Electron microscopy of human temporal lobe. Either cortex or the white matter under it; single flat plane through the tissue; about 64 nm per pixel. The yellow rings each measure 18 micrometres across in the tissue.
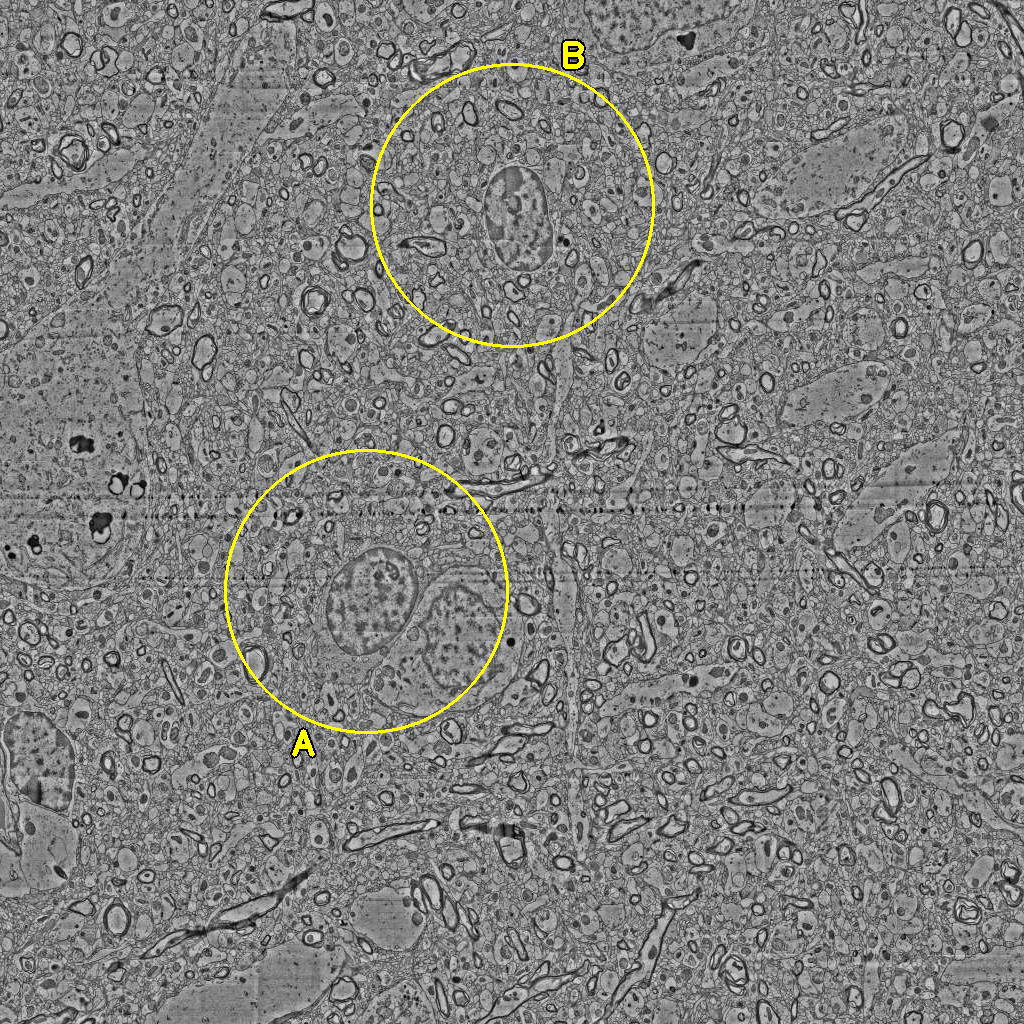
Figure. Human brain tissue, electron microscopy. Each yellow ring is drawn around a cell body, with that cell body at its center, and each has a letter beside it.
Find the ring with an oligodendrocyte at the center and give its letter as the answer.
A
